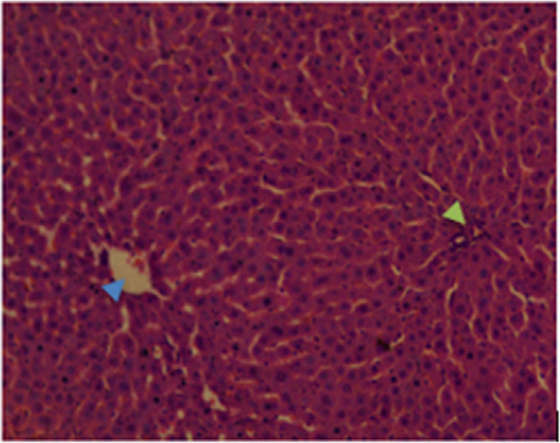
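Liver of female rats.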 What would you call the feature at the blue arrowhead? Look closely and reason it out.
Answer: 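Central vein. A round vessel lumen with a thin wall lies among the hepatocyte cords. Sinusoids converge toward it.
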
